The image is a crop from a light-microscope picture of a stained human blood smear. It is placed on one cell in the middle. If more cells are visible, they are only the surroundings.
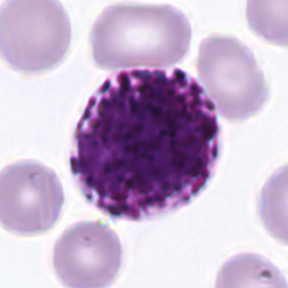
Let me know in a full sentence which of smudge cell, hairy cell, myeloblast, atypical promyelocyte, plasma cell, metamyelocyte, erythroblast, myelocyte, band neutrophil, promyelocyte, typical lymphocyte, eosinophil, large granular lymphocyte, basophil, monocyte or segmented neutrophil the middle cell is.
The cell marked by its central position in the crop is a basophil.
